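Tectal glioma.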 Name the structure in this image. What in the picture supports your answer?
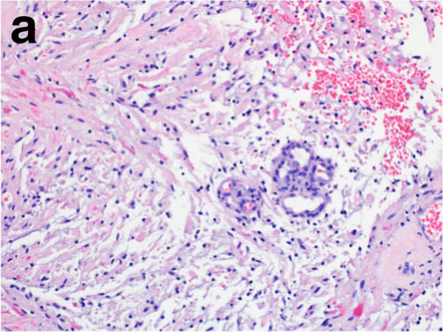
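In the center a small rounded cluster of vessels lined by crowded purple nuclei sits in the tumor. The cluster resembles a tuft of a kidney glomerulus. So: glomeruloid microvascular proliferation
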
